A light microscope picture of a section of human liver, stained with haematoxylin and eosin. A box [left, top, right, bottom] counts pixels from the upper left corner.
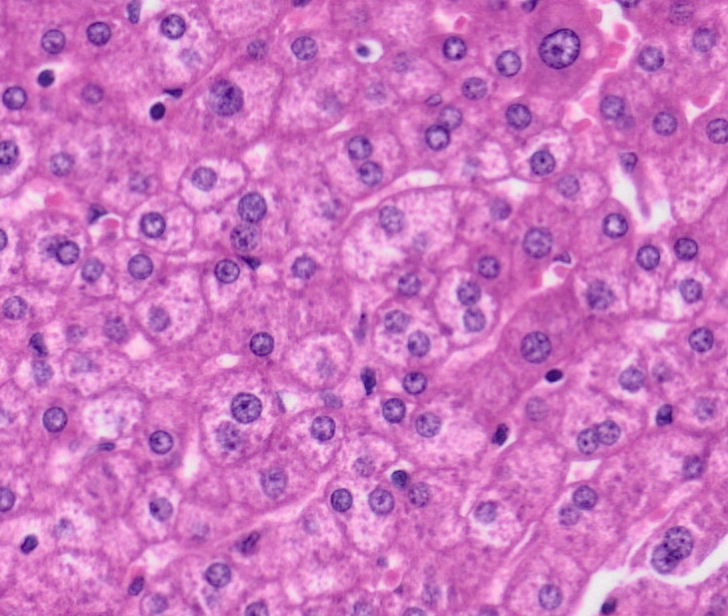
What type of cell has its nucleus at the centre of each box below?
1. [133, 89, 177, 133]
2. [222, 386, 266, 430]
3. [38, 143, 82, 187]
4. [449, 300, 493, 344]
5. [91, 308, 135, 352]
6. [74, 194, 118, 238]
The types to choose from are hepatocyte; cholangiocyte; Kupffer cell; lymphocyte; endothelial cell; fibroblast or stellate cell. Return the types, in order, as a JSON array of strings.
["lymphocyte", "hepatocyte", "hepatocyte", "hepatocyte", "hepatocyte", "endothelial cell"]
